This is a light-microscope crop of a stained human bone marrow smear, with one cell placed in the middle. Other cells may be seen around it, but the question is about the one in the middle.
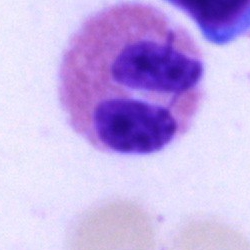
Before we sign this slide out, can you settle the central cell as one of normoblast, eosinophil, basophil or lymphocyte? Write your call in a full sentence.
The cell centred in this crop is categorized as an eosinophil.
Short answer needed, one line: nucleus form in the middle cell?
Rather than a single mass, the nucleus forms two or more lobes.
